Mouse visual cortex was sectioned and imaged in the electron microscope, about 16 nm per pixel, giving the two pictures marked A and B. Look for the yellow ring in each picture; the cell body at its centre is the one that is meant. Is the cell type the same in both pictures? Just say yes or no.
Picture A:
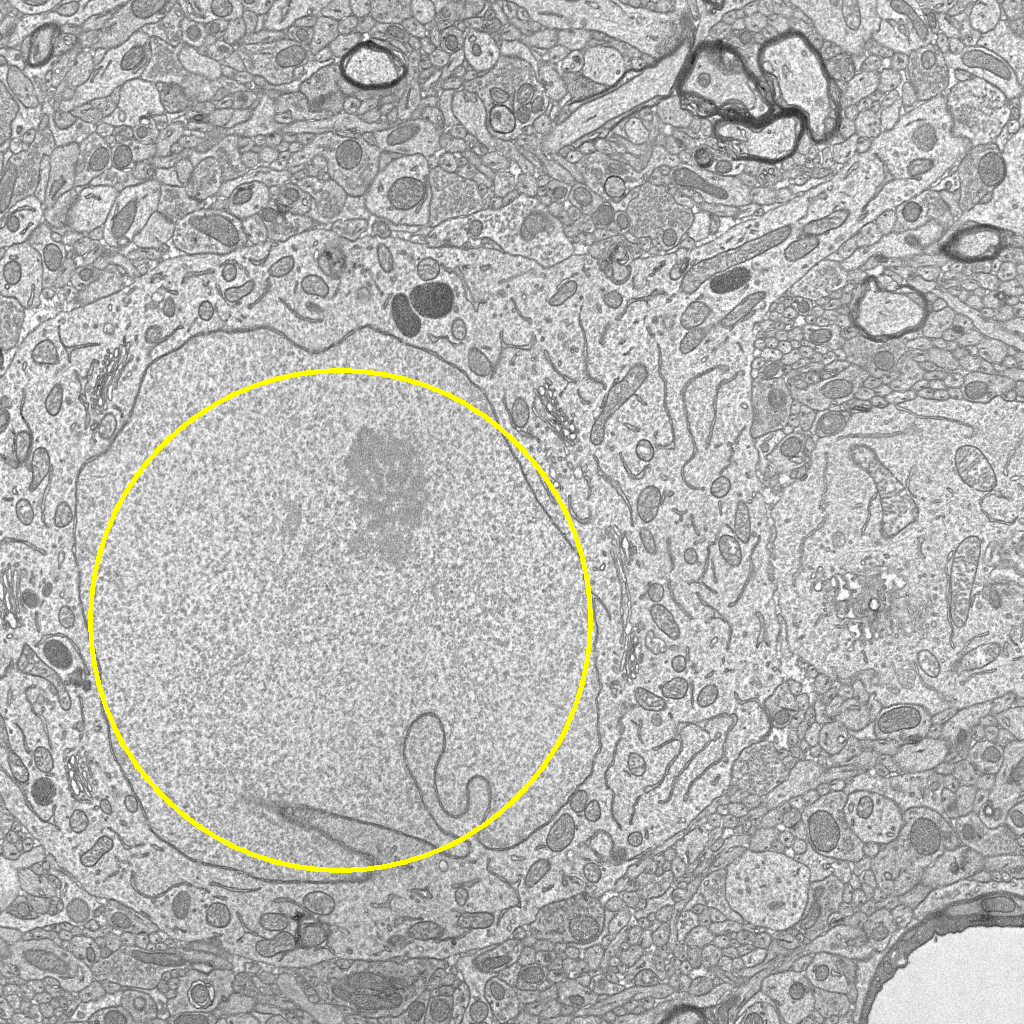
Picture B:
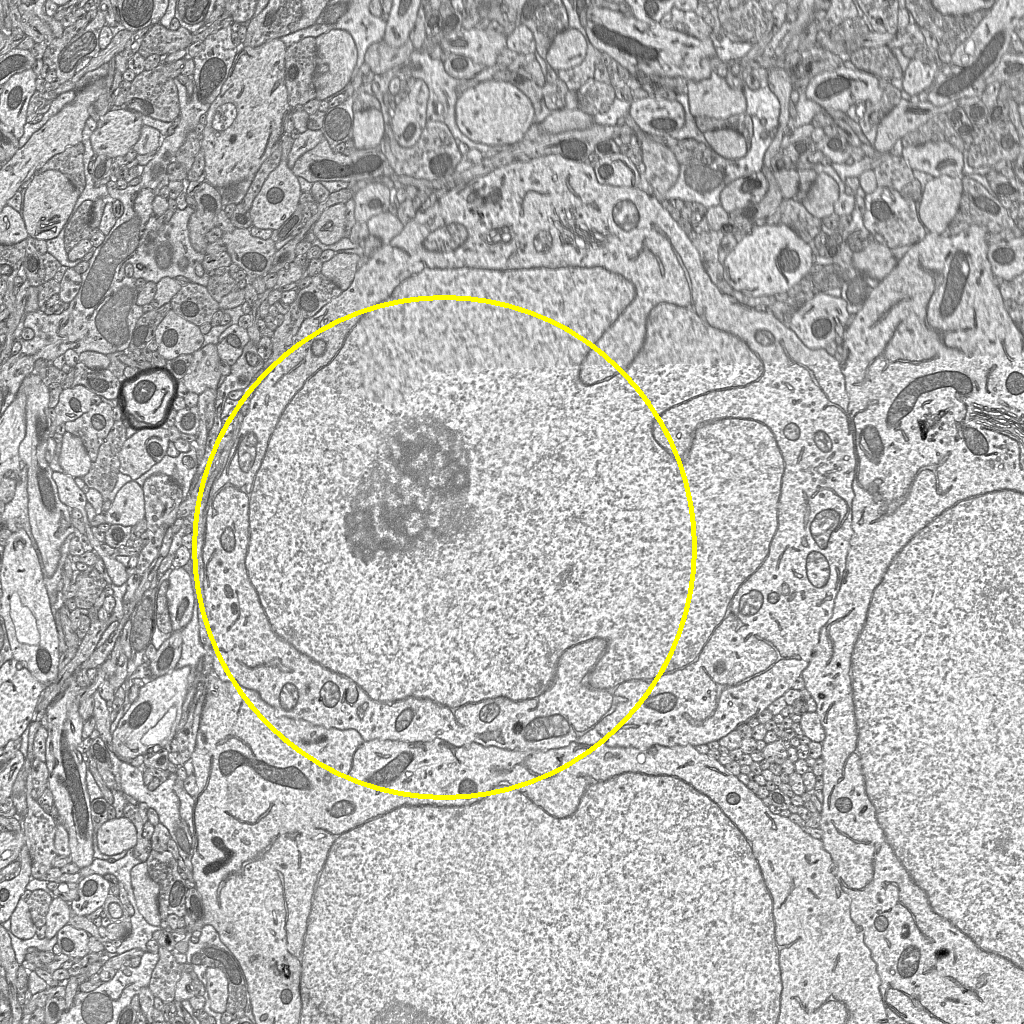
yes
